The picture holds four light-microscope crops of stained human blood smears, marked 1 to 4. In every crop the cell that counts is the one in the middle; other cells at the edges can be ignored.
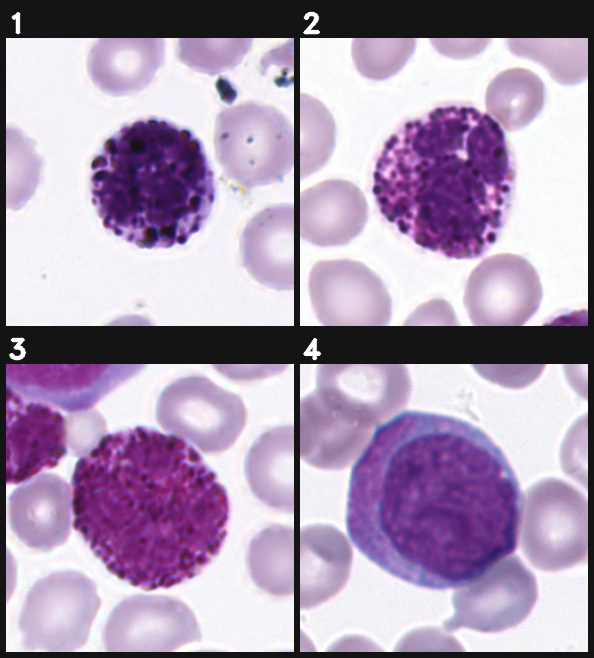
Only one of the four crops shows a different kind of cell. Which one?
4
